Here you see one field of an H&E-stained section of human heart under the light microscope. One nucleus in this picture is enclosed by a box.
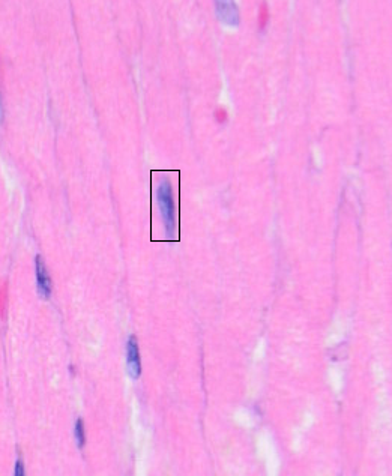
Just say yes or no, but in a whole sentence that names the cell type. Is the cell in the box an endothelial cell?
Yes, the cell in the box is to be classified as an endothelial cell.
